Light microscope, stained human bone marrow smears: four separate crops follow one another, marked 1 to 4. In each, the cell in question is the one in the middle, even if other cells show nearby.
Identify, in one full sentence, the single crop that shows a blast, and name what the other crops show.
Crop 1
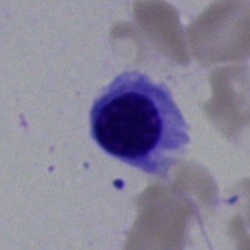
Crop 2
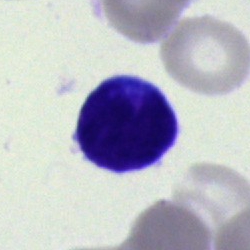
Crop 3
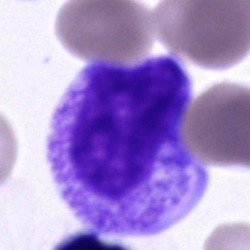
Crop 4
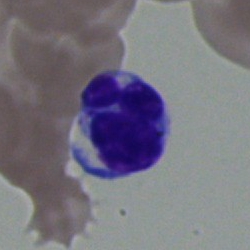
In short, crop 2 is a blast, and crop 1 is an erythroblast, crop 3 is a promyelocyte and crop 4 is a lymphocyte.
